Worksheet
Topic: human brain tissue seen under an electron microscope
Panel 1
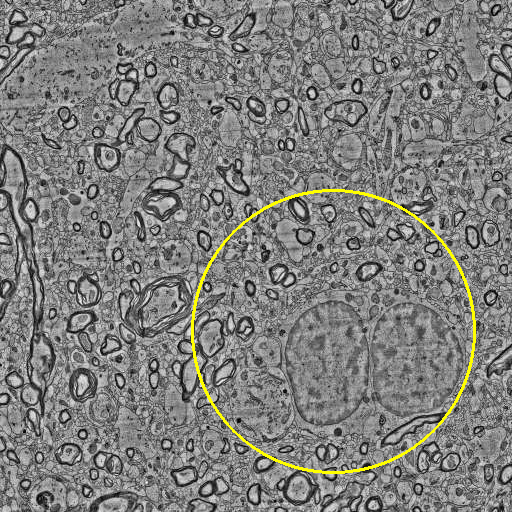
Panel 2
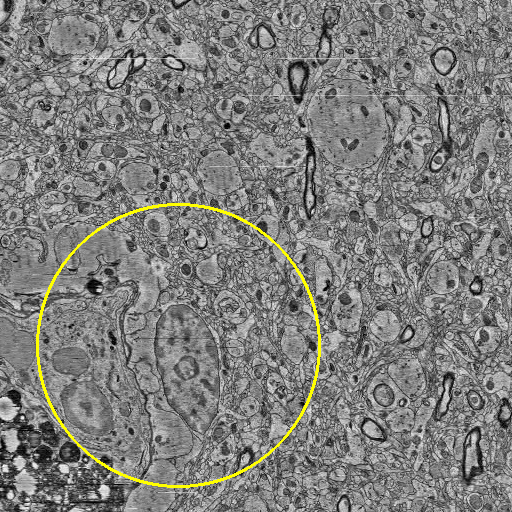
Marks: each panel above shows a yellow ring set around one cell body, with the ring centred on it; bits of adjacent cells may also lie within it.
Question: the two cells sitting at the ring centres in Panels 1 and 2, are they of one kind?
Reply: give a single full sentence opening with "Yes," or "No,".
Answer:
No, the two ring-centre cells in Panel 1 and Panel 2 are of two kinds.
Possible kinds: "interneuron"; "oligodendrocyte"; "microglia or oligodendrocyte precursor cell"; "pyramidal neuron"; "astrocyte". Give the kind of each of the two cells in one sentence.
The cell in the second picture is a microglial cell or oligodendrocyte precursor cell, and that in the first is an oligodendrocyte.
